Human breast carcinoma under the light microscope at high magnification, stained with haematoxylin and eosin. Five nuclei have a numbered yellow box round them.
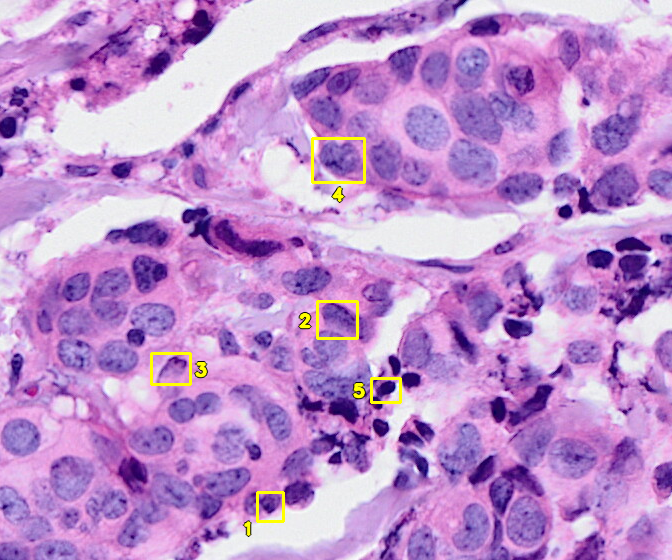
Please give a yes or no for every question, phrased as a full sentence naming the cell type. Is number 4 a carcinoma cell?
Yes, number 4 in this section denotes a carcinoma cell.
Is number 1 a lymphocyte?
Yes, for number 1, the cell is a lymphocyte.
